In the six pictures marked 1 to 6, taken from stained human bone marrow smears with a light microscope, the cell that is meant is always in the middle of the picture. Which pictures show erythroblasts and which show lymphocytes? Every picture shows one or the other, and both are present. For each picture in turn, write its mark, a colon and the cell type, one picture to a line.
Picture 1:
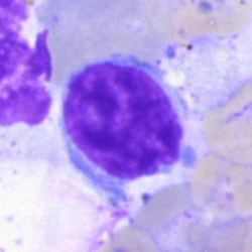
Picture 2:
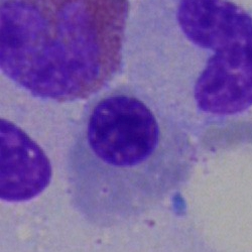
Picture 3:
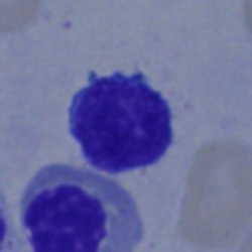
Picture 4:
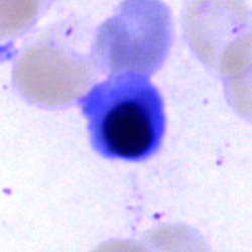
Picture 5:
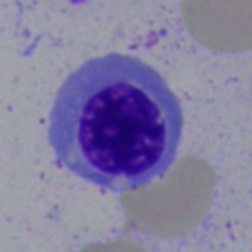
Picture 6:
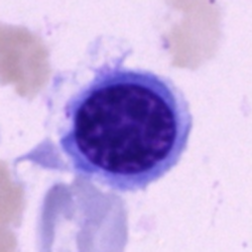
1: lymphocyte
2: erythroblast
3: lymphocyte
4: erythroblast
5: erythroblast
6: erythroblast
